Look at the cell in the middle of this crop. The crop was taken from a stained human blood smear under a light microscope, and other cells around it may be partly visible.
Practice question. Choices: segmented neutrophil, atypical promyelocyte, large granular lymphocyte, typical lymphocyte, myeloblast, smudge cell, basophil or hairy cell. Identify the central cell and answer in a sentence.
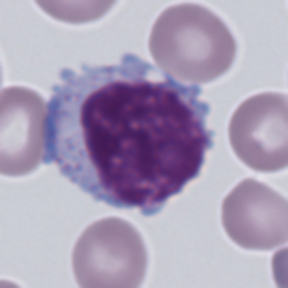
In this smear crop, the middle cell is a large granular lymphocyte.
